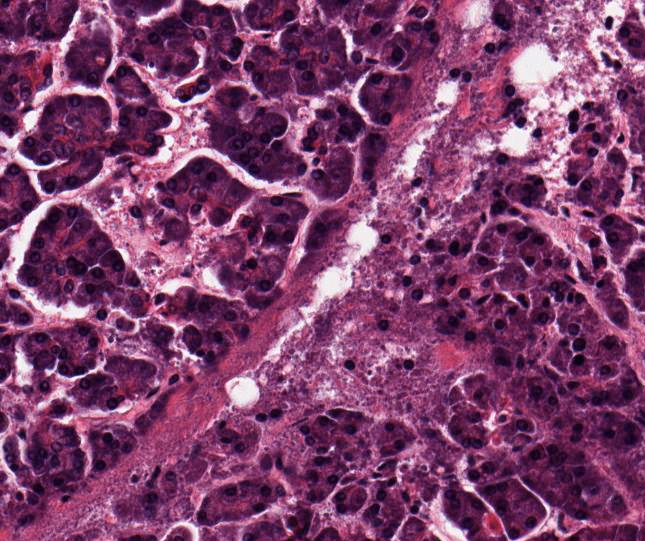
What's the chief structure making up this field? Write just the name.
exocrine pancreas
